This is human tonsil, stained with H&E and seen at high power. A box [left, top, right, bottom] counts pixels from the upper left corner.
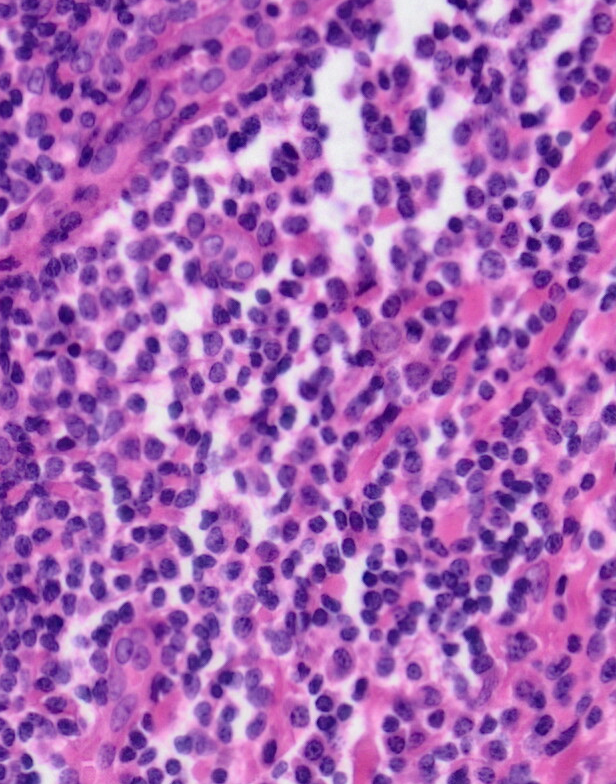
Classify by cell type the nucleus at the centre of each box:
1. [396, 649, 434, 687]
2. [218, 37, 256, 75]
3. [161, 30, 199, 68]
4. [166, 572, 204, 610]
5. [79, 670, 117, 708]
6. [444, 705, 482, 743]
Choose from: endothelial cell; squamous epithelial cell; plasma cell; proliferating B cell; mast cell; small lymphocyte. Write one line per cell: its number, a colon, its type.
1: mast cell
2: endothelial cell
3: endothelial cell
4: small lymphocyte
5: endothelial cell
6: plasma cell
